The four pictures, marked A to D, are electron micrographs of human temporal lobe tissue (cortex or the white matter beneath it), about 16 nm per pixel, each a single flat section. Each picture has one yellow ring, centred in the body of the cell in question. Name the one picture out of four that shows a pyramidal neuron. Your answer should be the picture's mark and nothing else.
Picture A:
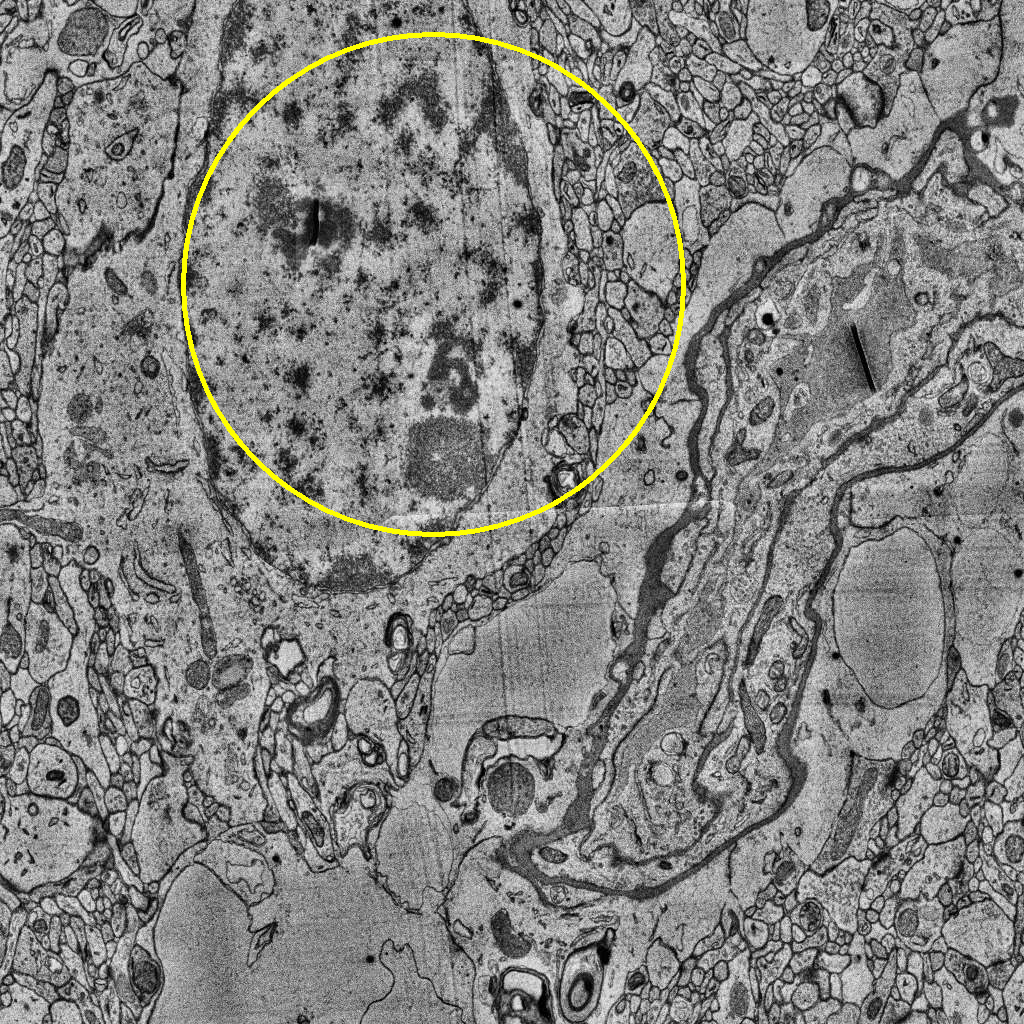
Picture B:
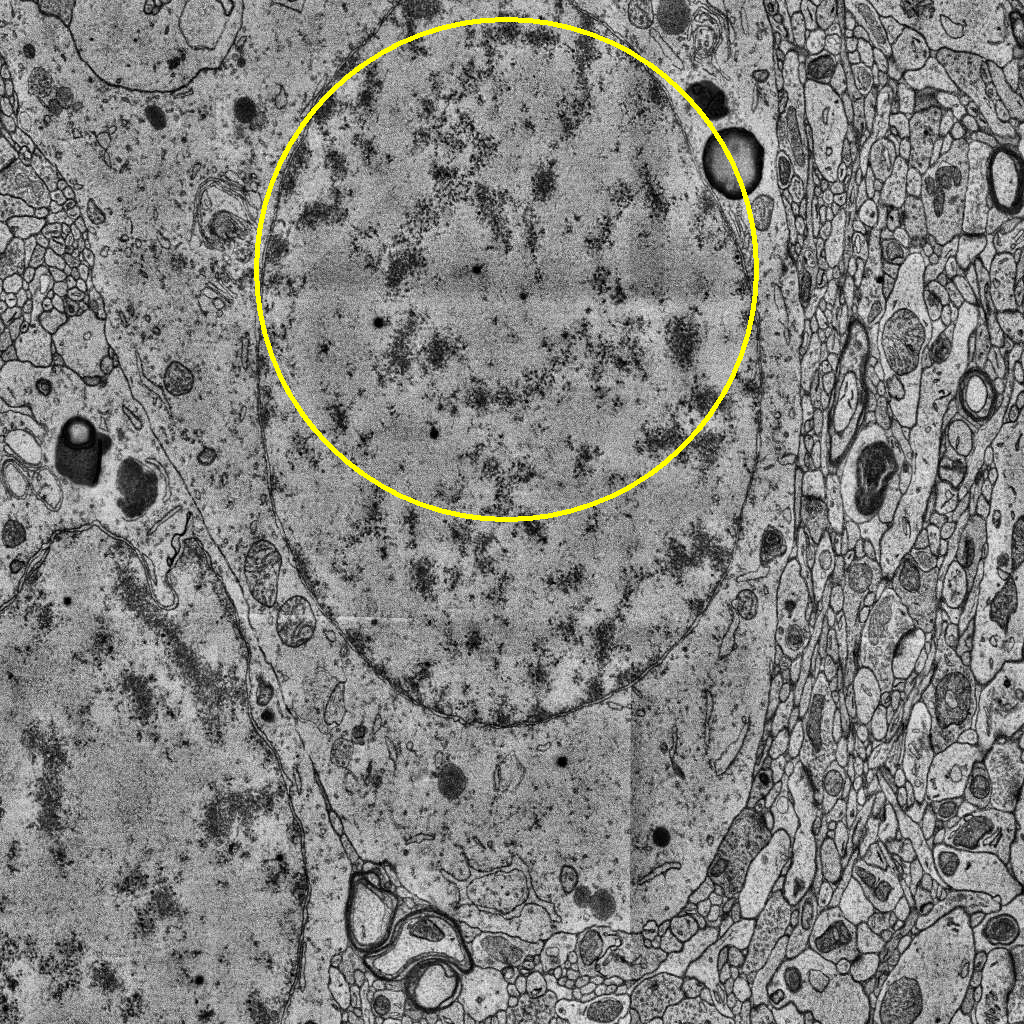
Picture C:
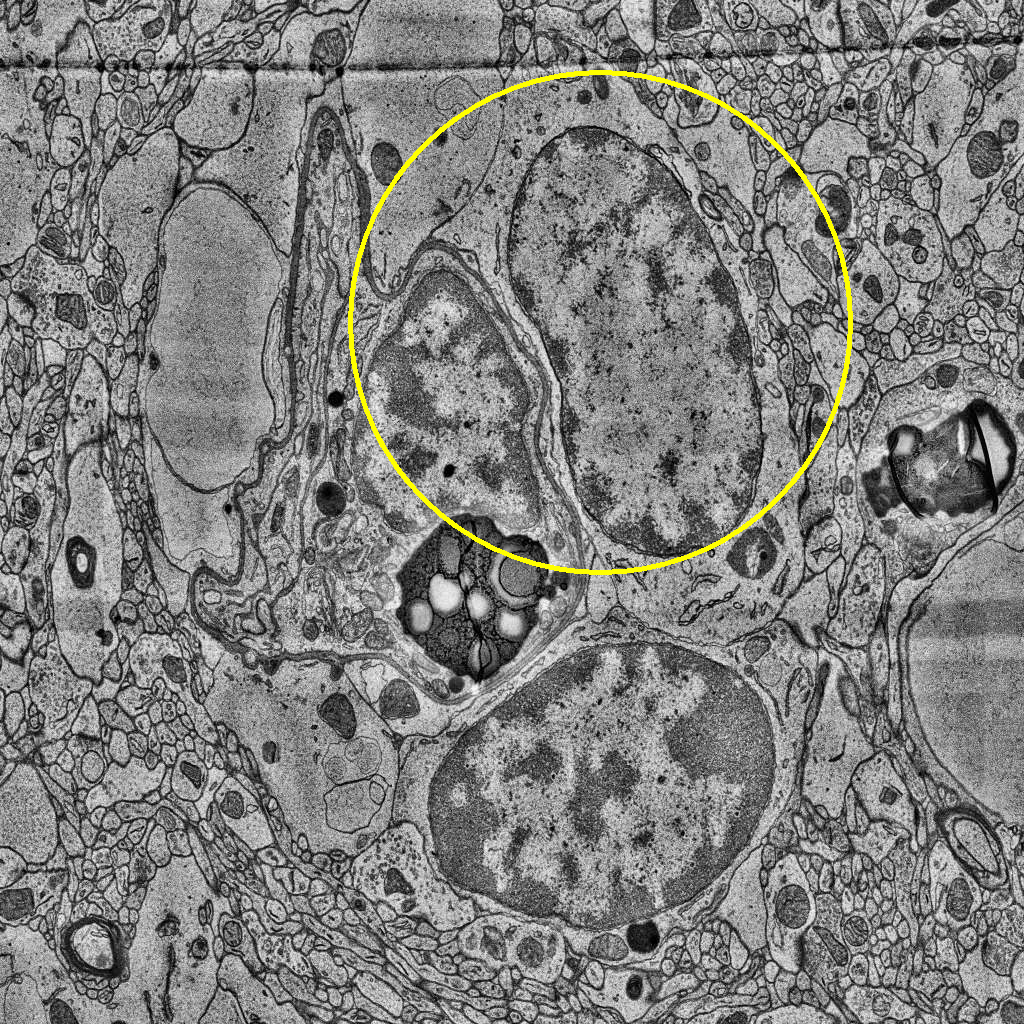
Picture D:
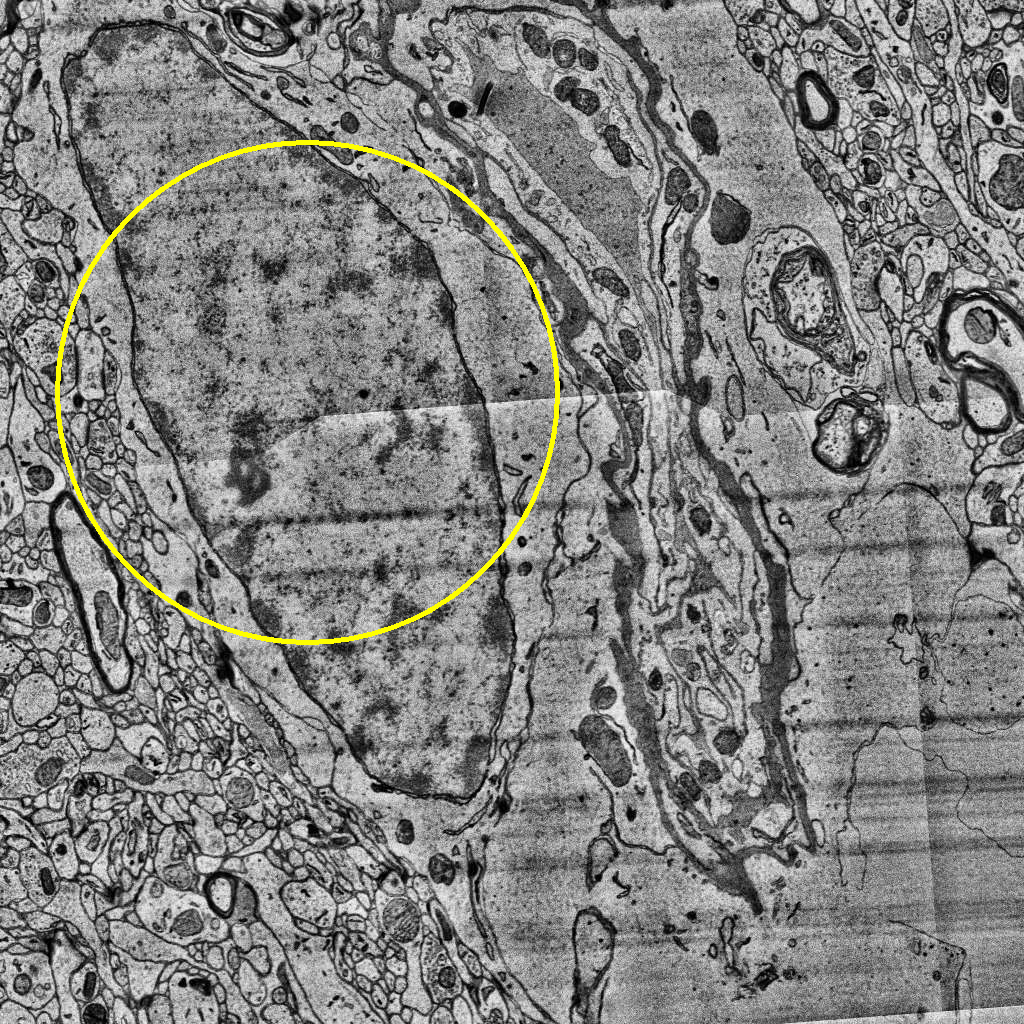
B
